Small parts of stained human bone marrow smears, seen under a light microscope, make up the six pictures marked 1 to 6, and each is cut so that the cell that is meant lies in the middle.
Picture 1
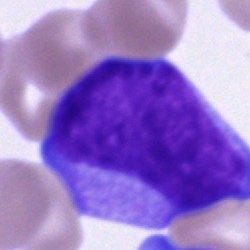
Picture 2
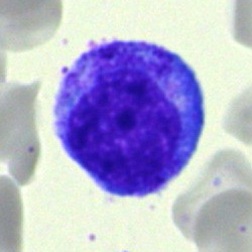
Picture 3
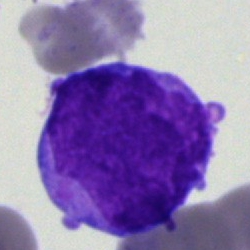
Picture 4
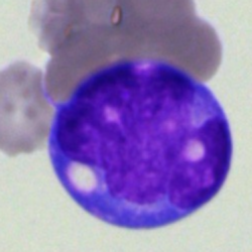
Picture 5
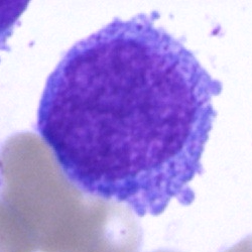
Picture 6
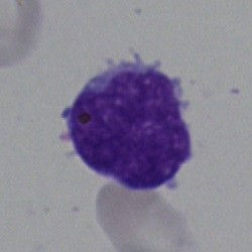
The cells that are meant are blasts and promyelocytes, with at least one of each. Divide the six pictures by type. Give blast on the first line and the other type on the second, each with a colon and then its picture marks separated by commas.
blast: 1, 3, 4, 6
promyelocyte: 2, 5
